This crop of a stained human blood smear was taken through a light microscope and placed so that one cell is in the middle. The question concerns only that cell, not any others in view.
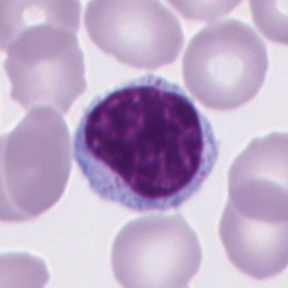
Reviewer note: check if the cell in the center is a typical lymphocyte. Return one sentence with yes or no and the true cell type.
Yes, shown in the middle of the crop is a typical lymphocyte.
